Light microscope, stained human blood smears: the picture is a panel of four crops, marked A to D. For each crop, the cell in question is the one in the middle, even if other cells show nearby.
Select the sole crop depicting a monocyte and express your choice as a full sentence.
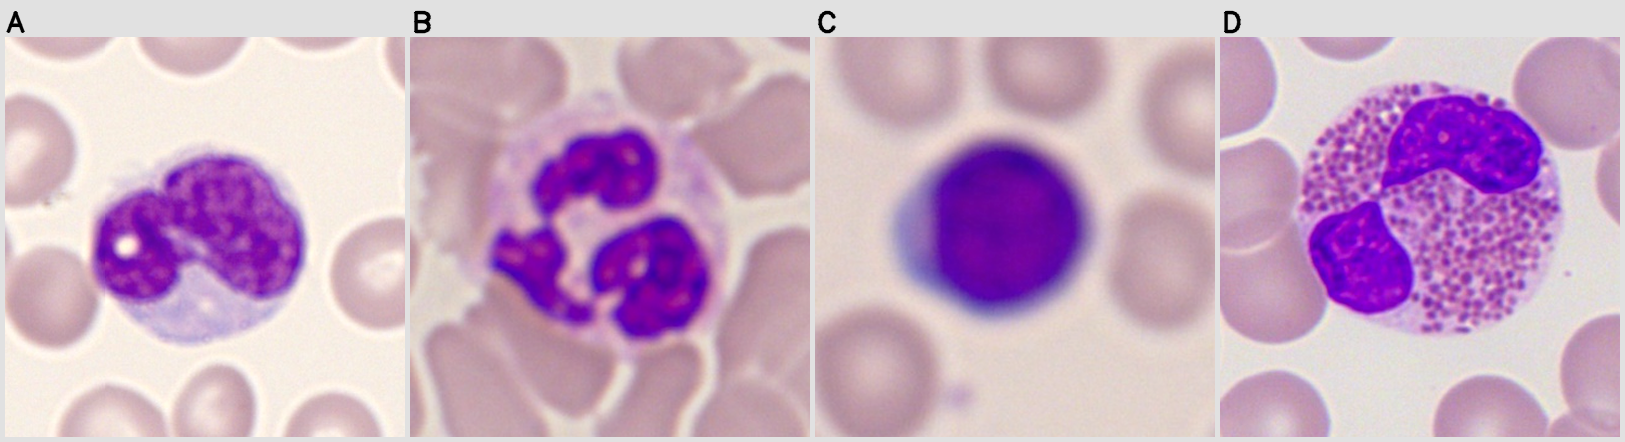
In this series, a monocyte is shown by crop A.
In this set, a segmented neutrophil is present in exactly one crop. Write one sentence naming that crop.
When the crops are compared, crop B is the one showing a segmented neutrophil.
